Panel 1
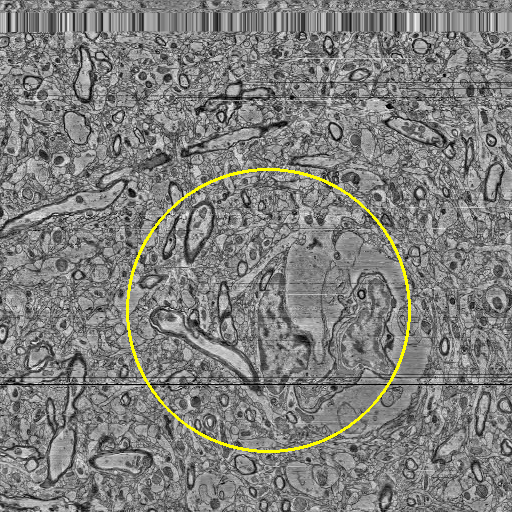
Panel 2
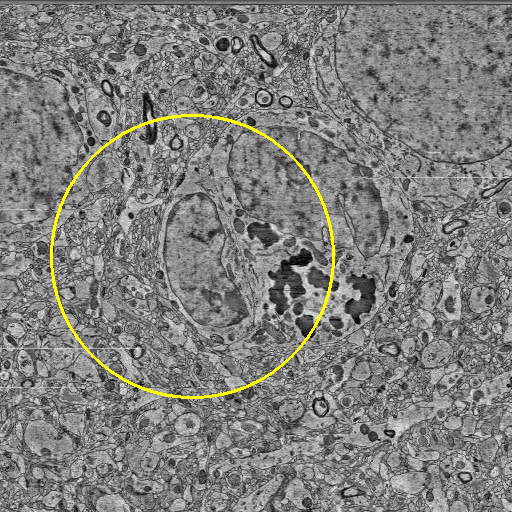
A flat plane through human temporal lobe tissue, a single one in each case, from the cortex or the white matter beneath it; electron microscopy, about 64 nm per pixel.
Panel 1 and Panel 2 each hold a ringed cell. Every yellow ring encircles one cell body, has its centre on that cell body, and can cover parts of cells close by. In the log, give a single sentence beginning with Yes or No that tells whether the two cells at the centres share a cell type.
Yes, in Panel 1 and Panel 2 the centred cells share a cell type.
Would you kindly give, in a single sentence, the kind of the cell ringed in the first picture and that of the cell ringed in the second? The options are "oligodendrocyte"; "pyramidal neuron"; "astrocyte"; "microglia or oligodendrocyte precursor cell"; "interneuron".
Each cell at the centre of a ring is a microglial cell or oligodendrocyte precursor cell.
